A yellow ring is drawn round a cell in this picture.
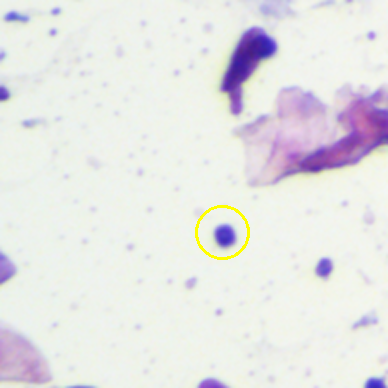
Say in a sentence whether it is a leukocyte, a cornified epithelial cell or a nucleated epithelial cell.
The cell in the ring is a leukocyte.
